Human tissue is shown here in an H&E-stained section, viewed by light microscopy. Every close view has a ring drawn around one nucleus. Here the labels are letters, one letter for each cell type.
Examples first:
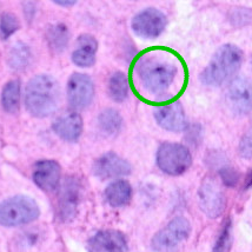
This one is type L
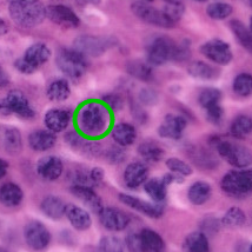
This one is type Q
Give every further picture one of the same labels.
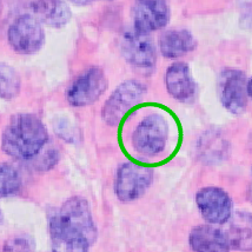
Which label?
type L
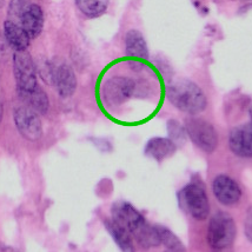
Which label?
type L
